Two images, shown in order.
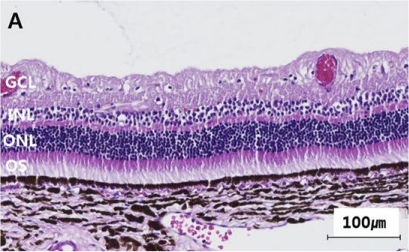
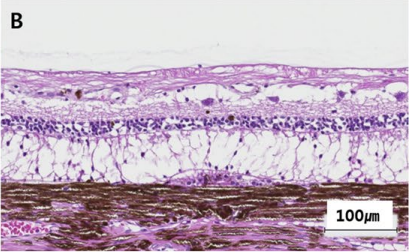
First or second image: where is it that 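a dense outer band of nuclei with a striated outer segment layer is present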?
the first image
